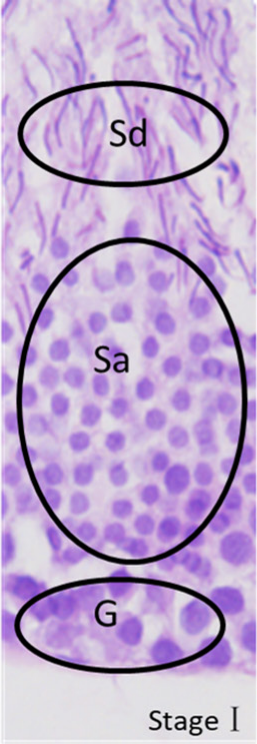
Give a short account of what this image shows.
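This is a section of seminiferous epithelium stained in purple and pink, with germ cells arranged in tiers from the base to the lumen. At the base lies a row of cells with round, fairly large nuclei, resting on a thin pale basal layer. Above them a broad zone is packed with many small, round, dark purple nuclei of similar size, closely set. The uppermost part, toward the lumen, holds slender, elongated, rod-like pink to purple sperm heads lying in loose bundles.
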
